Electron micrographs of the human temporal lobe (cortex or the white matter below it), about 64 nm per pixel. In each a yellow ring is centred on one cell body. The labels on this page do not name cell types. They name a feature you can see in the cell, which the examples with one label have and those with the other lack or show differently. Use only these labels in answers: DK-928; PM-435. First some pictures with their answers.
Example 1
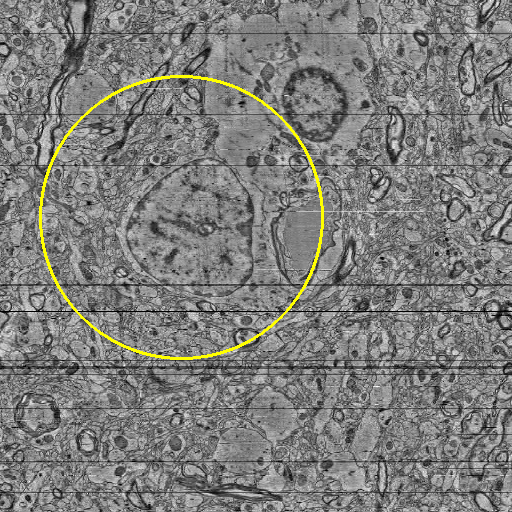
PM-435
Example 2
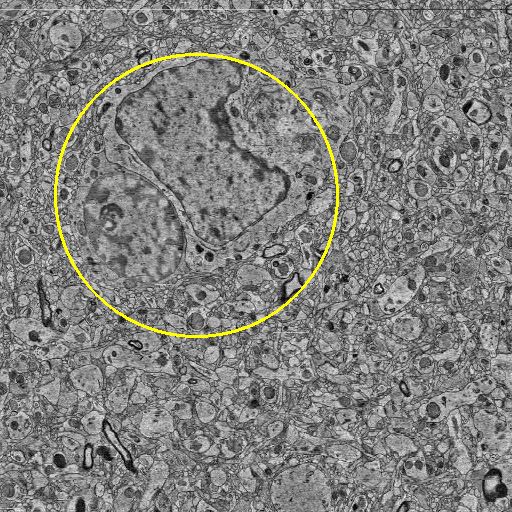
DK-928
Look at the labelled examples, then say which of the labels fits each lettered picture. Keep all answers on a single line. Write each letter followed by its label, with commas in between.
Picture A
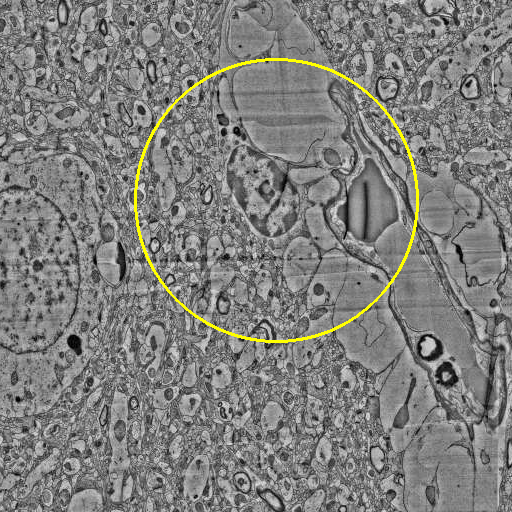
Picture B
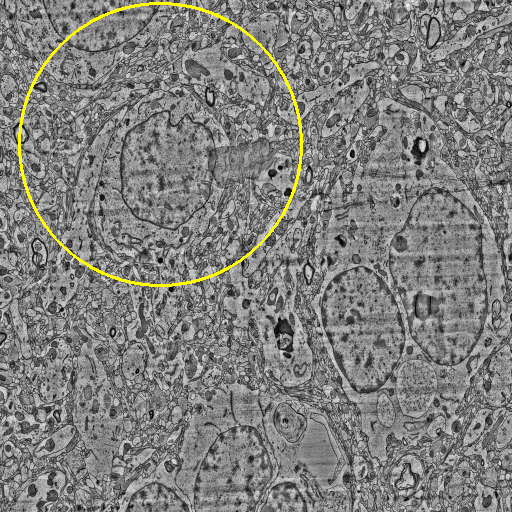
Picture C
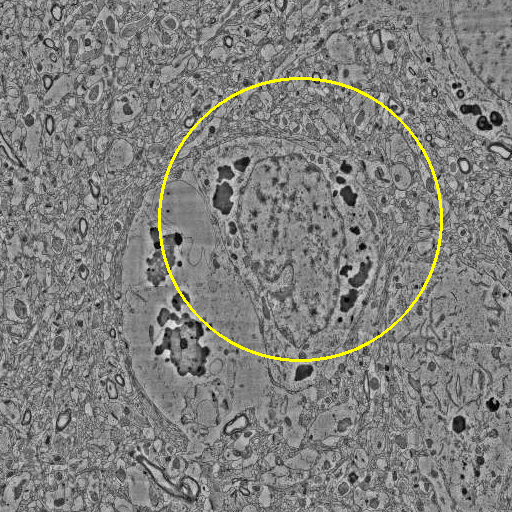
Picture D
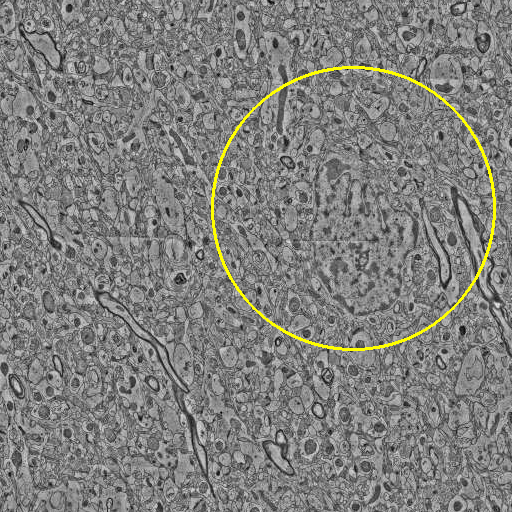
A DK-928, B DK-928, C DK-928, D DK-928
